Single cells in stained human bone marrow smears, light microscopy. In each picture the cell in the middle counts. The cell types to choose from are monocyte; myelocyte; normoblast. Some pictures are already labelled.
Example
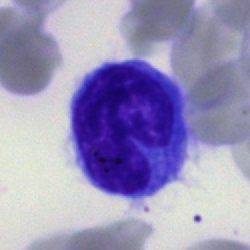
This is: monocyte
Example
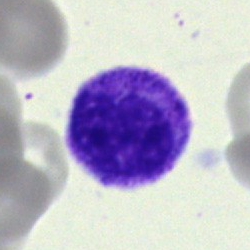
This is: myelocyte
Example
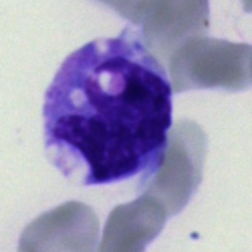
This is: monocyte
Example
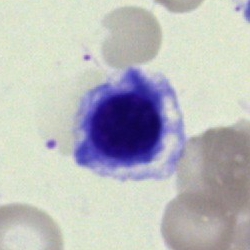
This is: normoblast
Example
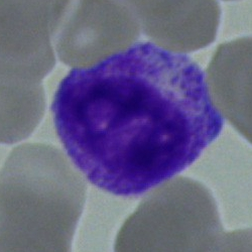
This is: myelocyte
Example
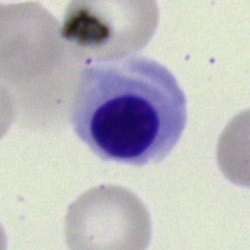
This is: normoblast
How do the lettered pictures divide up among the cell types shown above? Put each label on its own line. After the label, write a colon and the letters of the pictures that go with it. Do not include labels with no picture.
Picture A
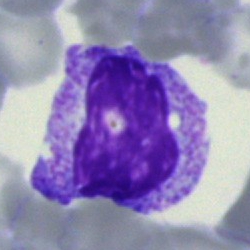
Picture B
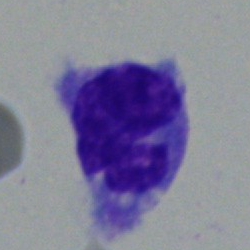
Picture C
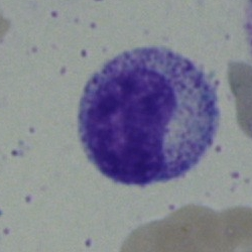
monocyte: B
myelocyte: A, C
